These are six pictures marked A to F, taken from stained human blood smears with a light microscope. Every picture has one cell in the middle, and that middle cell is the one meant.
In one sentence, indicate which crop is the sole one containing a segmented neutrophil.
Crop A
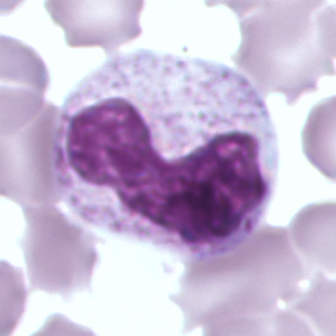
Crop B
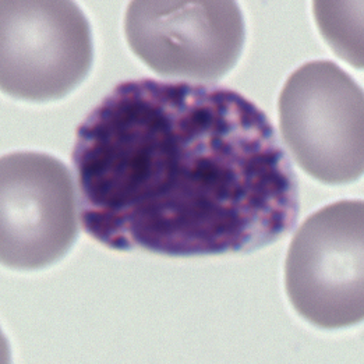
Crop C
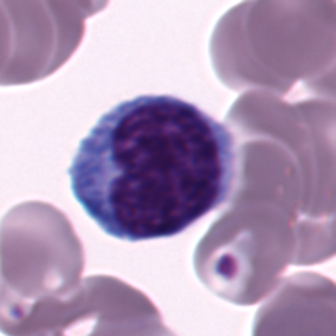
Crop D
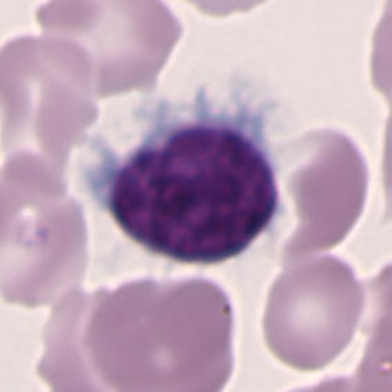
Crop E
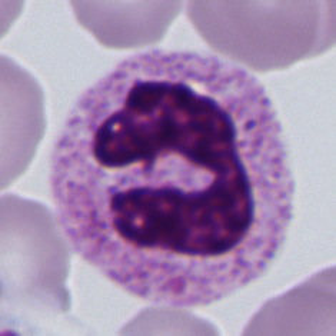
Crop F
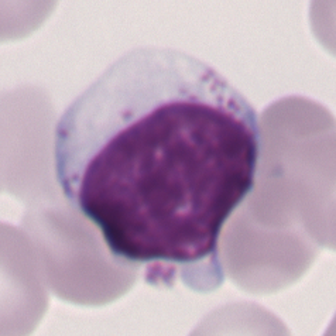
Within this set, crop E is the one with a segmented neutrophil at its center.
